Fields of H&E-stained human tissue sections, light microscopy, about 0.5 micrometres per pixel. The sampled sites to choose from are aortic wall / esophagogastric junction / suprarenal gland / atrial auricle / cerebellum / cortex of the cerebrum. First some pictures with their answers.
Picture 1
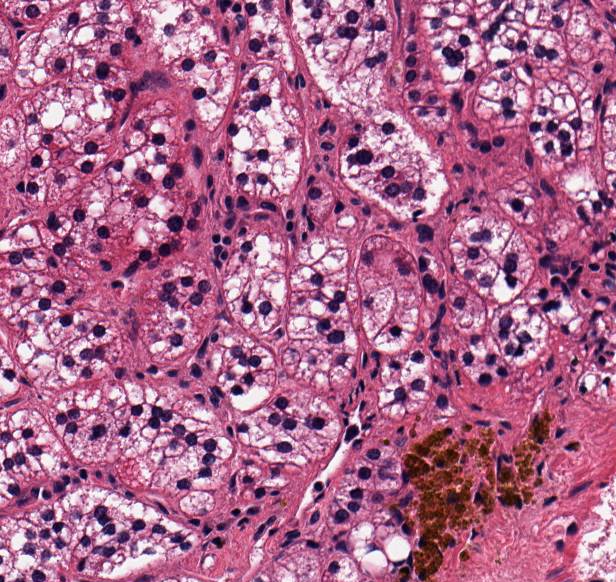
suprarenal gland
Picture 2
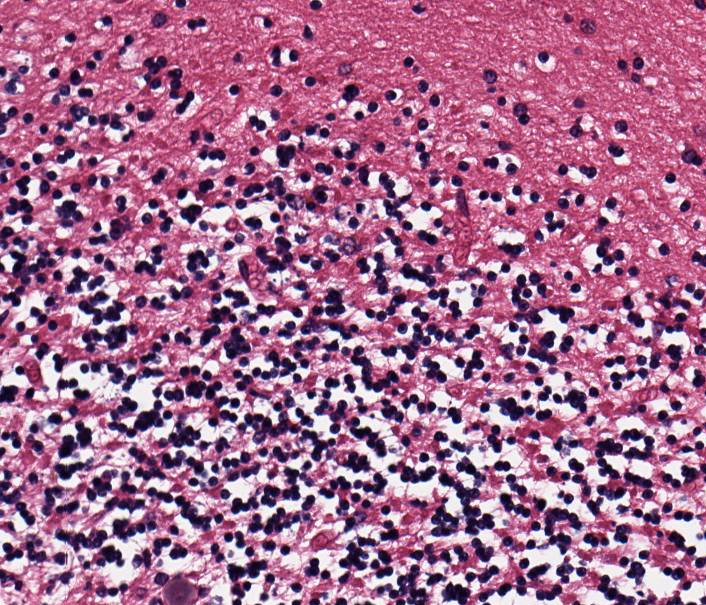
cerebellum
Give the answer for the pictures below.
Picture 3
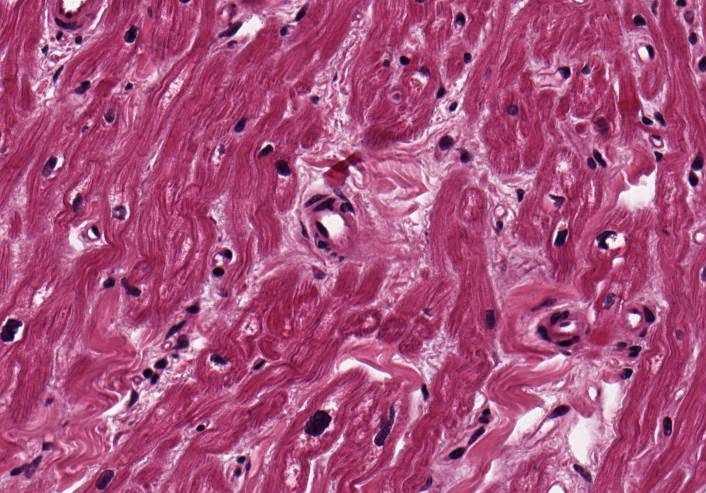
atrial auricle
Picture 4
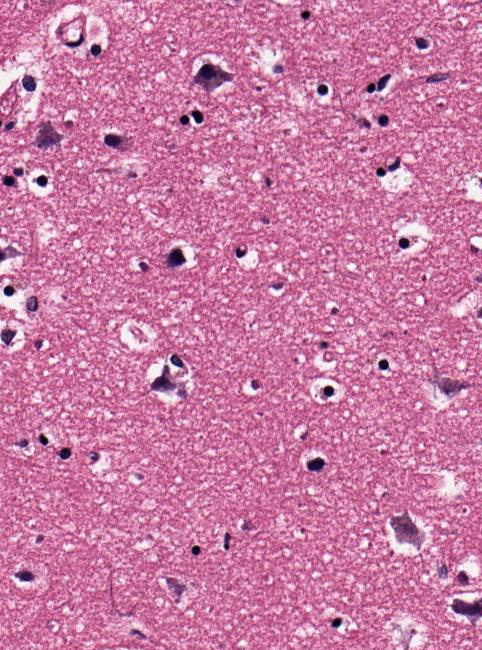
cortex of the cerebrum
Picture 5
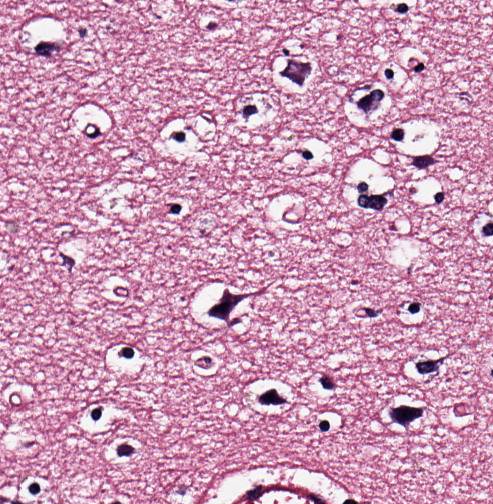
cortex of the cerebrum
